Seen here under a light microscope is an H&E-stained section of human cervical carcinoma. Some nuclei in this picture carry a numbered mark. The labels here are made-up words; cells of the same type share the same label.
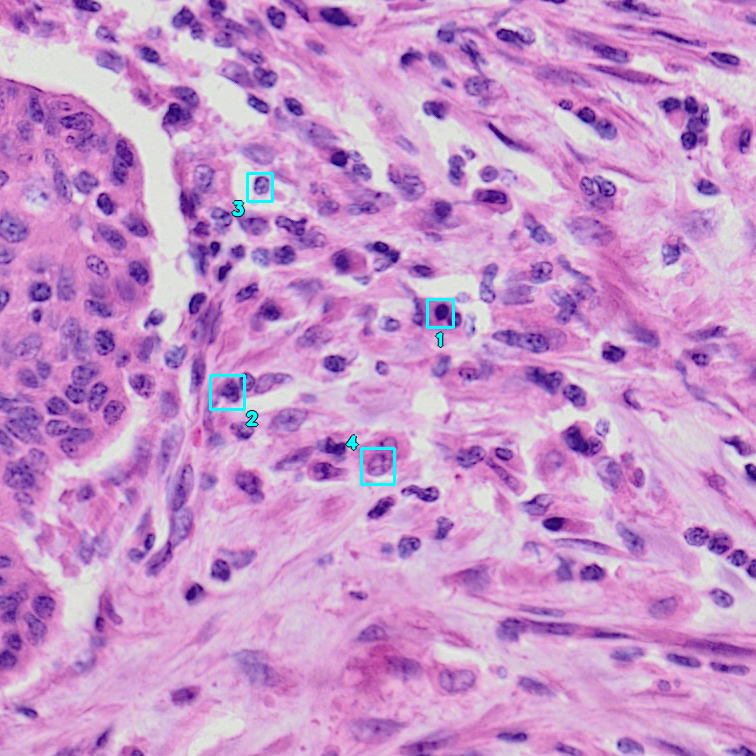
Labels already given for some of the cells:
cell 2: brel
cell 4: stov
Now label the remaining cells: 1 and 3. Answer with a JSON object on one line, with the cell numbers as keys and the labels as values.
{"1": "brel", "3": "brel"}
